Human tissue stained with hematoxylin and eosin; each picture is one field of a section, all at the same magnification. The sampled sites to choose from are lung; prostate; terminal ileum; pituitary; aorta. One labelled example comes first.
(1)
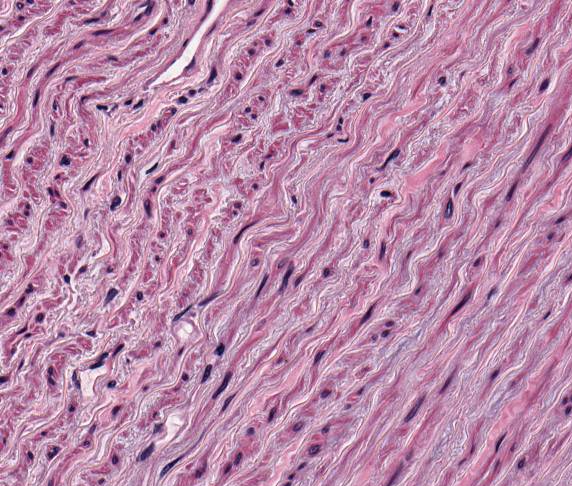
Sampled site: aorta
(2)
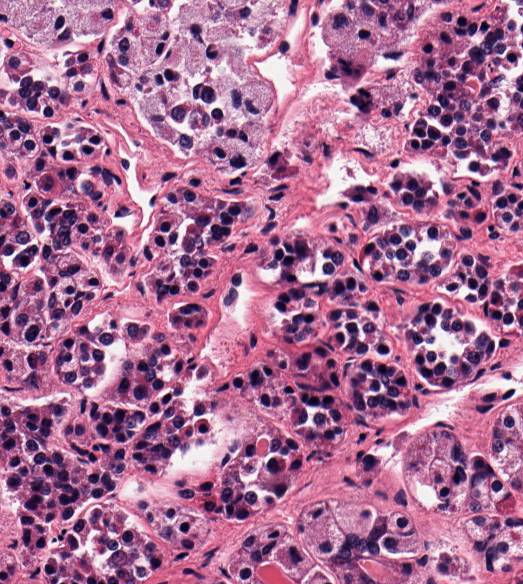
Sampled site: pituitary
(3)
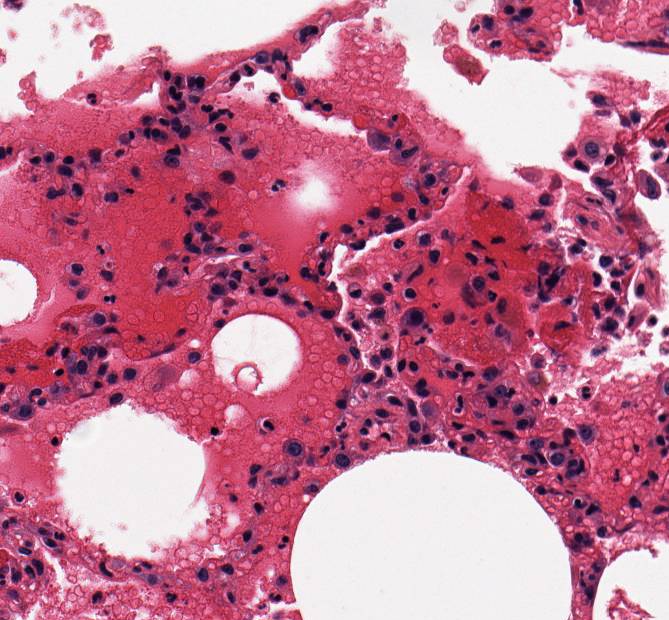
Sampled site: lung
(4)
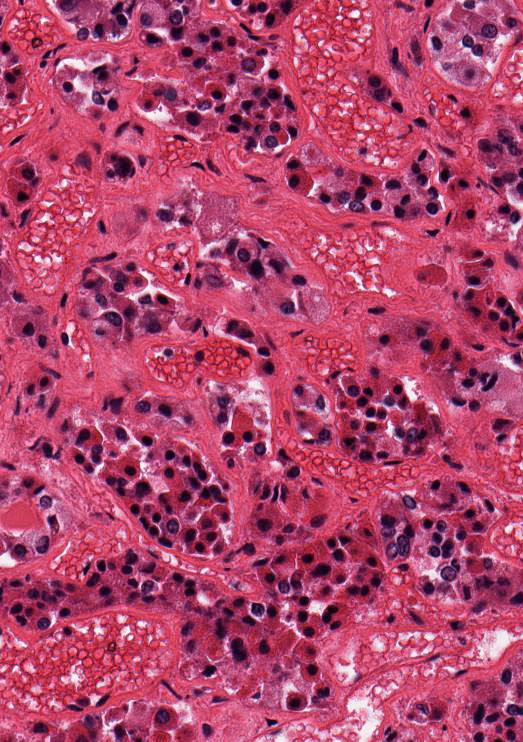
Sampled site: pituitary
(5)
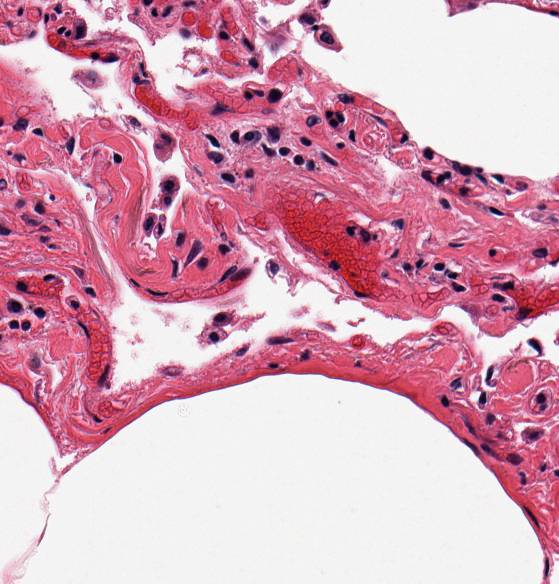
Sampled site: lung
